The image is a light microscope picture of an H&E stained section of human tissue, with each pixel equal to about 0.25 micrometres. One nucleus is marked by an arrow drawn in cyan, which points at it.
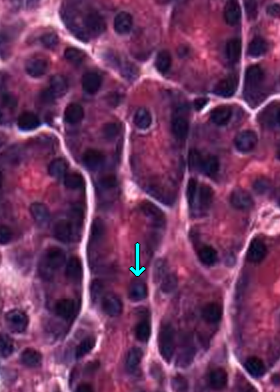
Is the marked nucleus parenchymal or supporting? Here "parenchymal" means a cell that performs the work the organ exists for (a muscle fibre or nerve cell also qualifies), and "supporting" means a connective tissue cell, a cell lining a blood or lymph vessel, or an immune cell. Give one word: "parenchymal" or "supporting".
parenchymal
